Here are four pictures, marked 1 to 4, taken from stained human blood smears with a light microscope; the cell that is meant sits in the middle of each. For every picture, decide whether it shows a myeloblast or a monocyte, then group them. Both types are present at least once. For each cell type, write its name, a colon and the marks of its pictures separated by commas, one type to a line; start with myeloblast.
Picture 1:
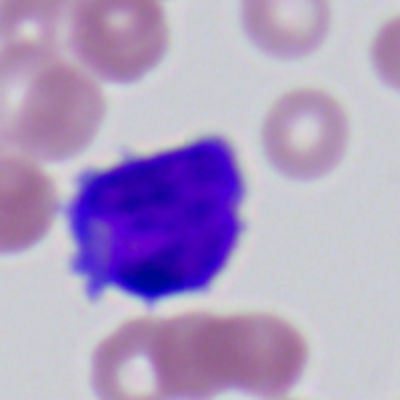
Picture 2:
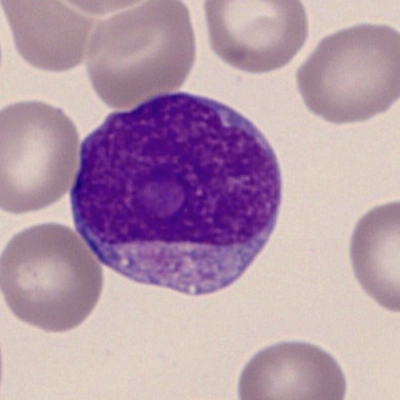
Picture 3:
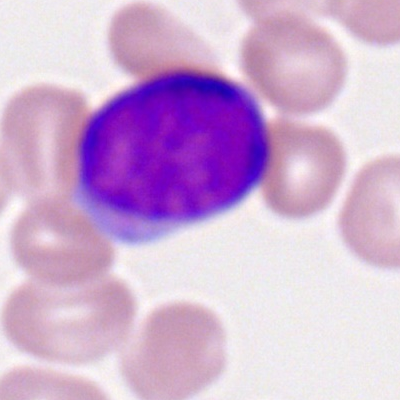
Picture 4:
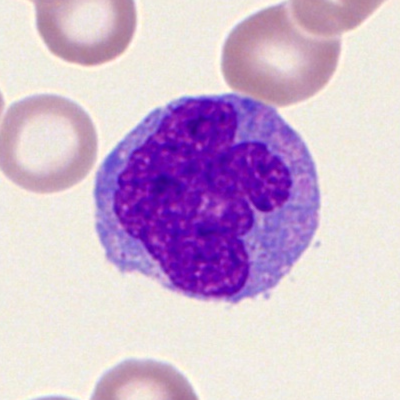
myeloblast: 1, 2, 3
monocyte: 4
